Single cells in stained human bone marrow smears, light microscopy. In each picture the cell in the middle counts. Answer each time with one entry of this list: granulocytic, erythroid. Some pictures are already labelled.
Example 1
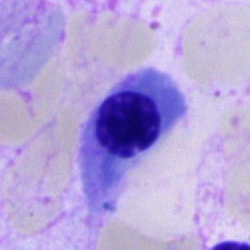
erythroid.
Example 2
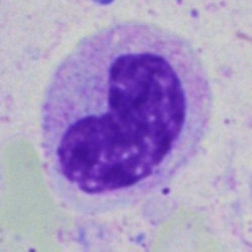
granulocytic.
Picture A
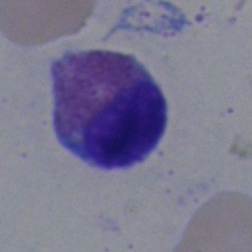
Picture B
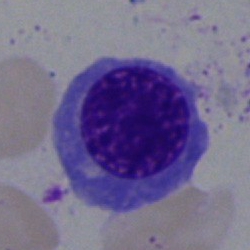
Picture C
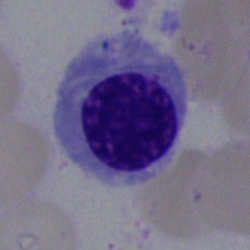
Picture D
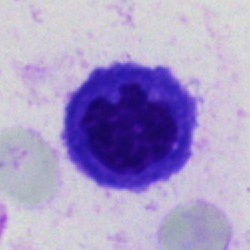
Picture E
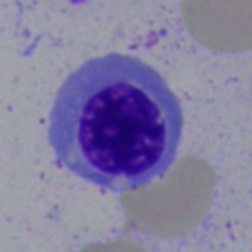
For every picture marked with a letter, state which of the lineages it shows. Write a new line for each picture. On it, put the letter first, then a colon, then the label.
A: granulocytic.
B: erythroid.
C: erythroid.
D: erythroid.
E: erythroid.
